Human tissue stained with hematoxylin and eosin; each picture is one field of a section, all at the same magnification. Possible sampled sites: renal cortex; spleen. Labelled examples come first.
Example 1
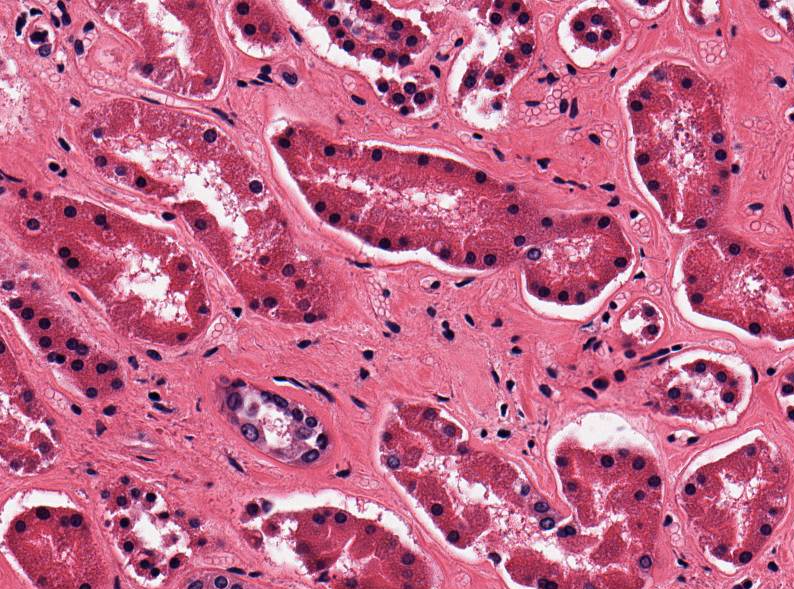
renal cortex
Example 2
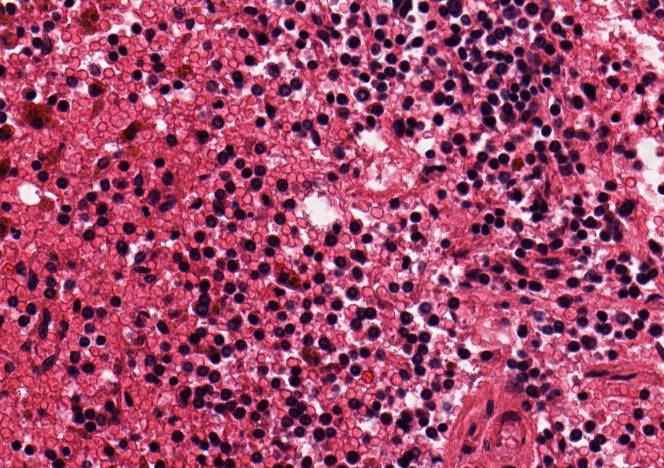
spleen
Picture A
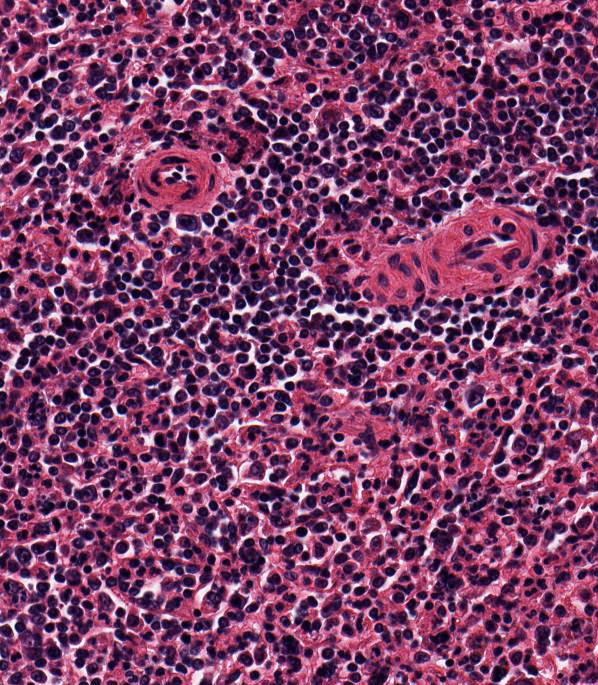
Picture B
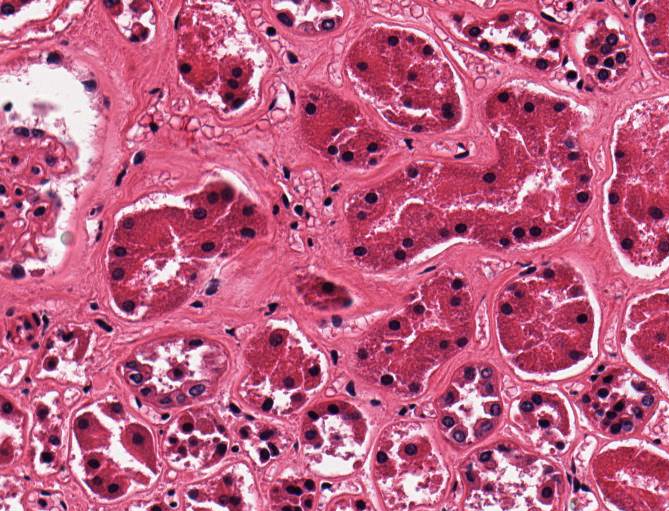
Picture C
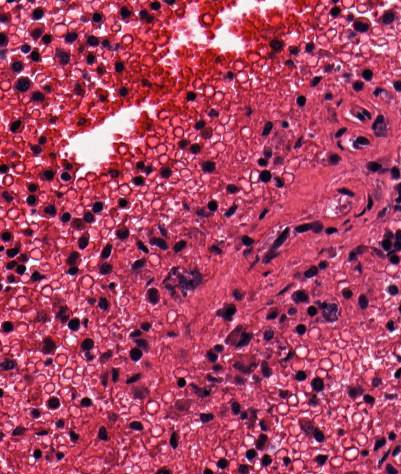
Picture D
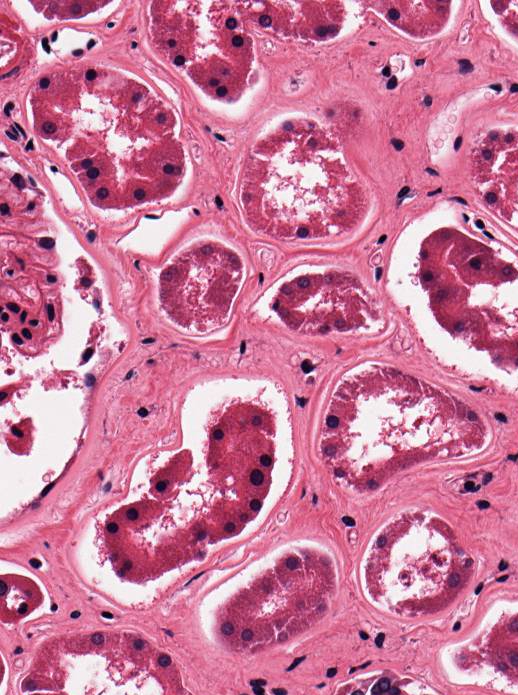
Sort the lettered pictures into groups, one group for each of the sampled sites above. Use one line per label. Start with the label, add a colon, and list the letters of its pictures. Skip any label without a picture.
renal cortex: B, D
spleen: A, C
